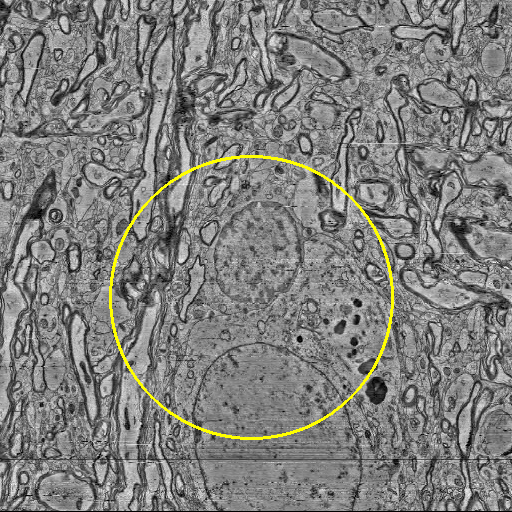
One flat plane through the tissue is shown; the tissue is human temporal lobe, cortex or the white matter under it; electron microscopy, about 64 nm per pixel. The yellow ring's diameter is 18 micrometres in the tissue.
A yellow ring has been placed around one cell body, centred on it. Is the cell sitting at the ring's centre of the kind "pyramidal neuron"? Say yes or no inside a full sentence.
No, the cell at the centre of the yellow ring belongs to a different kind.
